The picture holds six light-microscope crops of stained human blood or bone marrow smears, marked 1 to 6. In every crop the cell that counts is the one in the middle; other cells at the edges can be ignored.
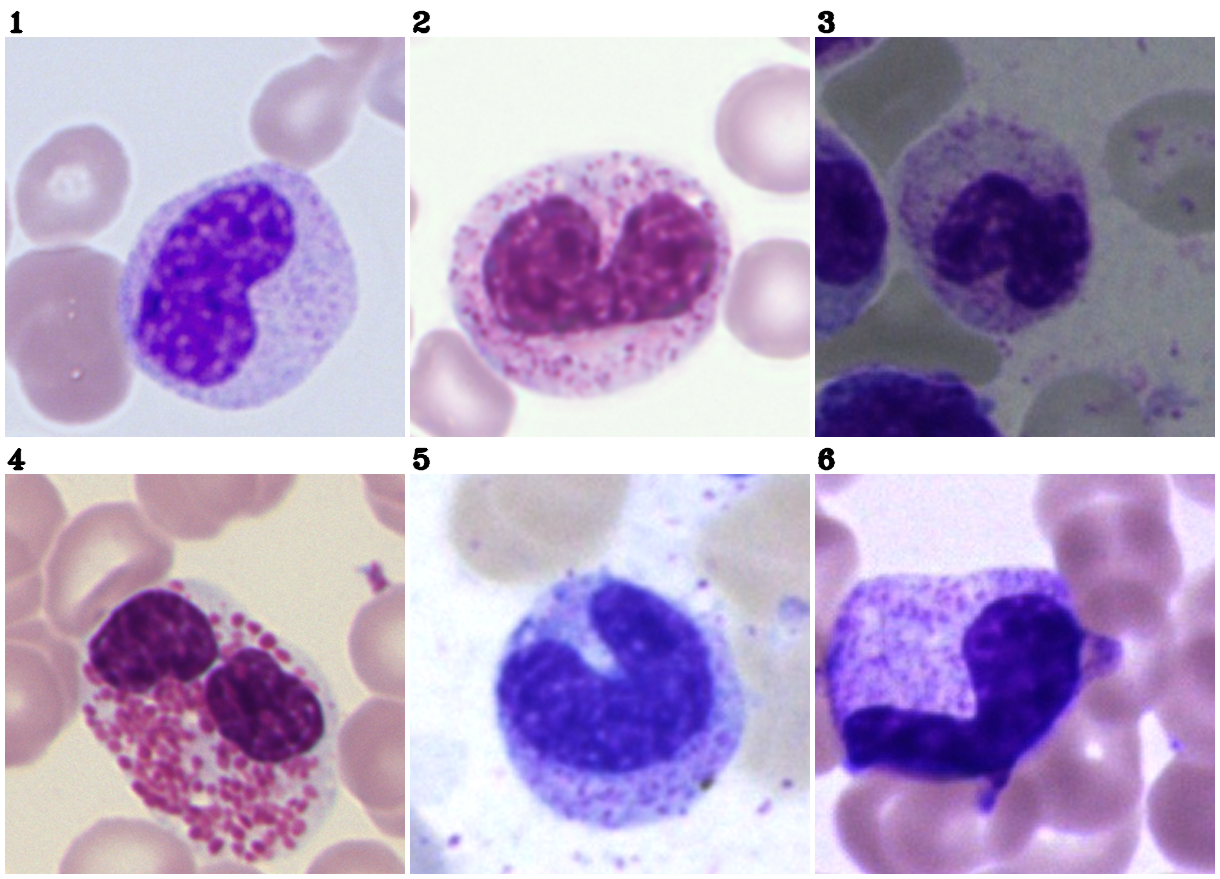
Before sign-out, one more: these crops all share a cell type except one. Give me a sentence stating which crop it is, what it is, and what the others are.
Crop 4 is the odd one out, being an eosinophil, while all the other crops show band neutrophils.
